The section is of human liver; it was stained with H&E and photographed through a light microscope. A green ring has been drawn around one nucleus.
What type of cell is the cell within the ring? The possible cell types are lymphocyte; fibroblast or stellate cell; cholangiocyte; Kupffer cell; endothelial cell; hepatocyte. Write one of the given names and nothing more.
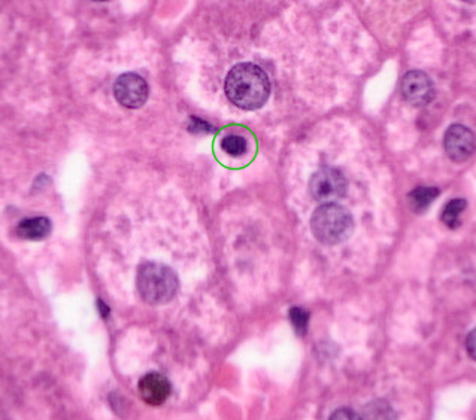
lymphocyte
